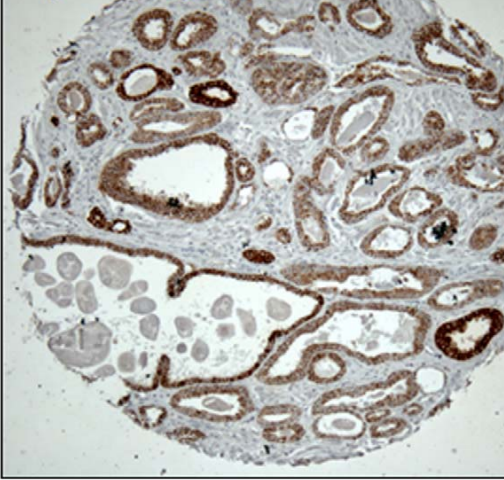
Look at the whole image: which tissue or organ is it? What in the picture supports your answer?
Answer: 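Many glands of varying size and shape lie in a fibromuscular stroma. Some gland lumens have infolded, papillary epithelial linings. That points to this answer: prostatic tissue.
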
